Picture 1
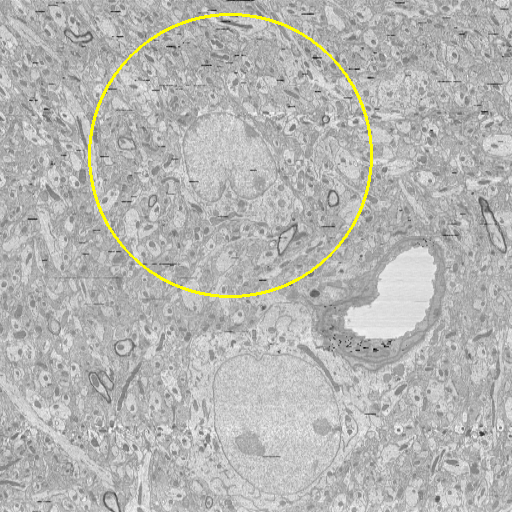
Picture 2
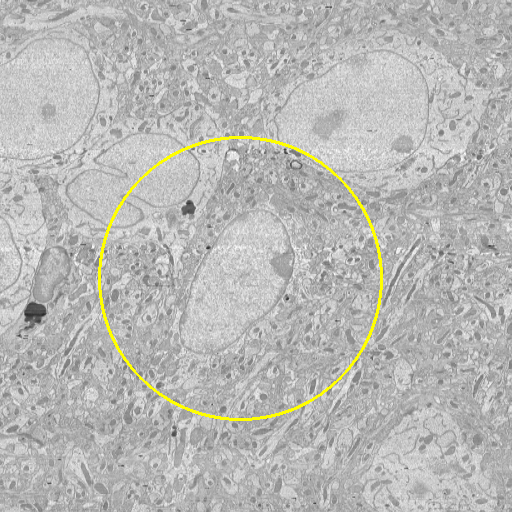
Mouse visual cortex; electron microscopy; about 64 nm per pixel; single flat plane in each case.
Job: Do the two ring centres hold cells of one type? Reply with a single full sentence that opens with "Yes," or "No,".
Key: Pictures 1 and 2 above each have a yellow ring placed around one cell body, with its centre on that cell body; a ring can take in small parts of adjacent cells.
Yes, the cells at the two ring centres are of one single type.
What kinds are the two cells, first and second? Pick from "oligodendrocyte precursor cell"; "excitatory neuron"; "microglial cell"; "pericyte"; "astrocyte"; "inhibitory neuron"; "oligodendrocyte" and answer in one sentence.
The cell in the first picture is an astrocyte, and so is the one in the second.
